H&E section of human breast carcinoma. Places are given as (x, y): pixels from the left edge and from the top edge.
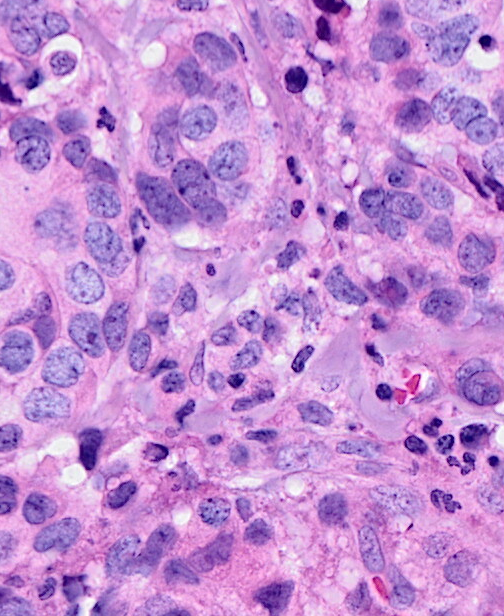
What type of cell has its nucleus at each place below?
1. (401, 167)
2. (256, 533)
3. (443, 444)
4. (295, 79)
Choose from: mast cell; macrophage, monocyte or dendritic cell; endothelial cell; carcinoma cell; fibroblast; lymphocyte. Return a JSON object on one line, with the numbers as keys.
{"1": "carcinoma cell", "2": "carcinoma cell", "3": "lymphocyte", "4": "carcinoma cell"}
